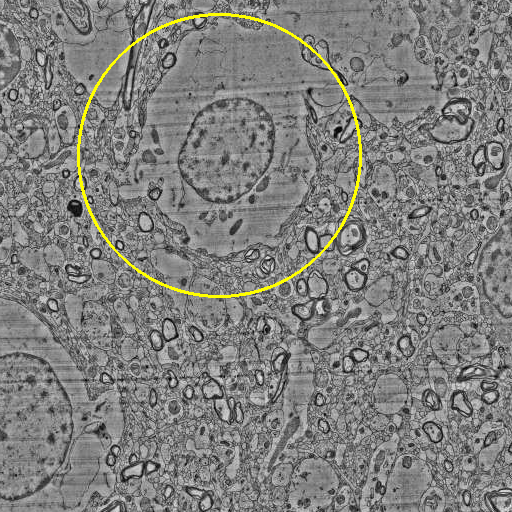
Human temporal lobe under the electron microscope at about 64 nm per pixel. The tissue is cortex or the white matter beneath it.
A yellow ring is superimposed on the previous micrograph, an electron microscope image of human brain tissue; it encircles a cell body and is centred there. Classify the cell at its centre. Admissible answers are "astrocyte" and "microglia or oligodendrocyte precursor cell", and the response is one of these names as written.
astrocyte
